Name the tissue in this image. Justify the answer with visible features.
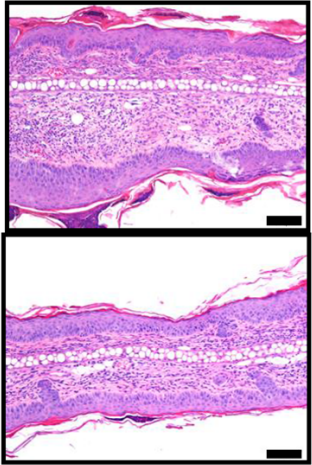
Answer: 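Ear skins. A thin central plate of pale, vacuolated cells runs lengthwise through the middle of each section. Purple-stained stratified epithelium lines both outer surfaces. Dermis lies between each epithelial surface and the central plate.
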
